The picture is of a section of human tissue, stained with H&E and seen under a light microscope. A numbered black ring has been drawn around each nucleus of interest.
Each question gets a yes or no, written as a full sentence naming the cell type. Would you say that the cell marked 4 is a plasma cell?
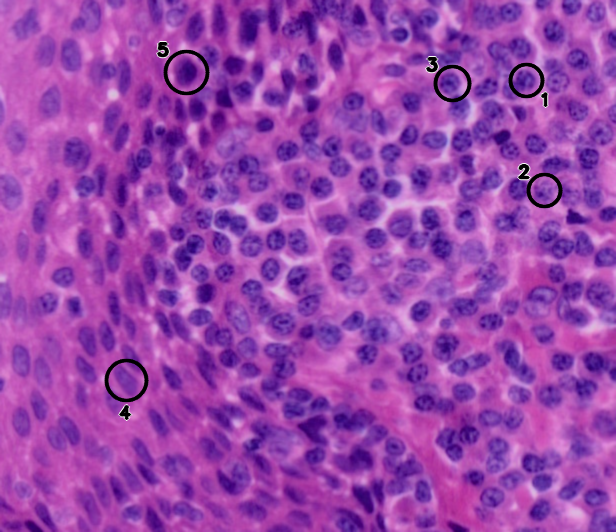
No, calling cell 4 a plasma cell is incorrect; it is a squamous epithelial cell.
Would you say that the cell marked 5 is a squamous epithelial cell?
Yes, a squamous epithelial cell is what the cell numbered 5 is.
